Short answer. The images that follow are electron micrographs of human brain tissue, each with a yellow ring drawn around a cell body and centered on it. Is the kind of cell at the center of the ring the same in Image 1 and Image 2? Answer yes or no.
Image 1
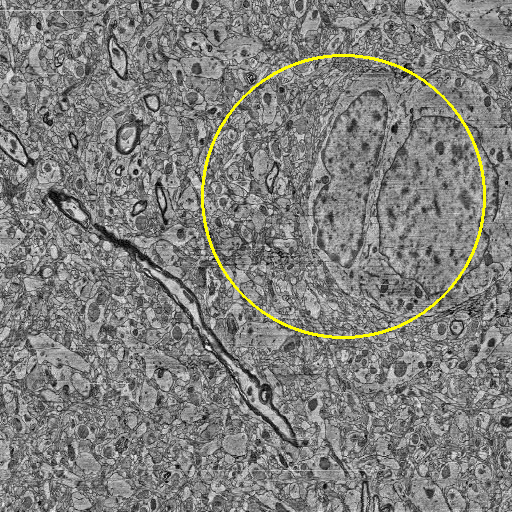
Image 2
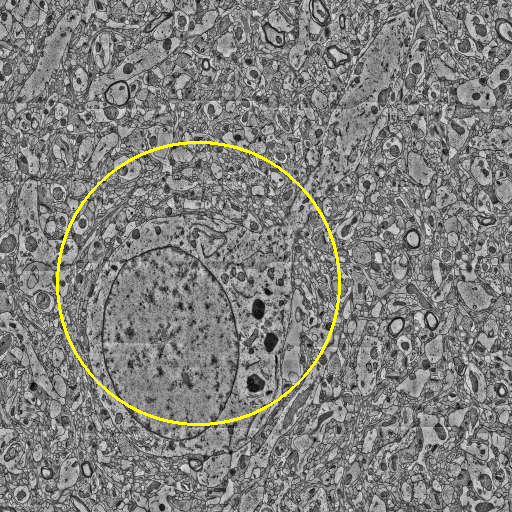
no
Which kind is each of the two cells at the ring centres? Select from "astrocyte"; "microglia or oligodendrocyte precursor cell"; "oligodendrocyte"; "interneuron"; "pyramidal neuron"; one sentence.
The cell at the centre of the ring is a microglial cell or oligodendrocyte precursor cell in the first picture and a pyramidal neuron in the second.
